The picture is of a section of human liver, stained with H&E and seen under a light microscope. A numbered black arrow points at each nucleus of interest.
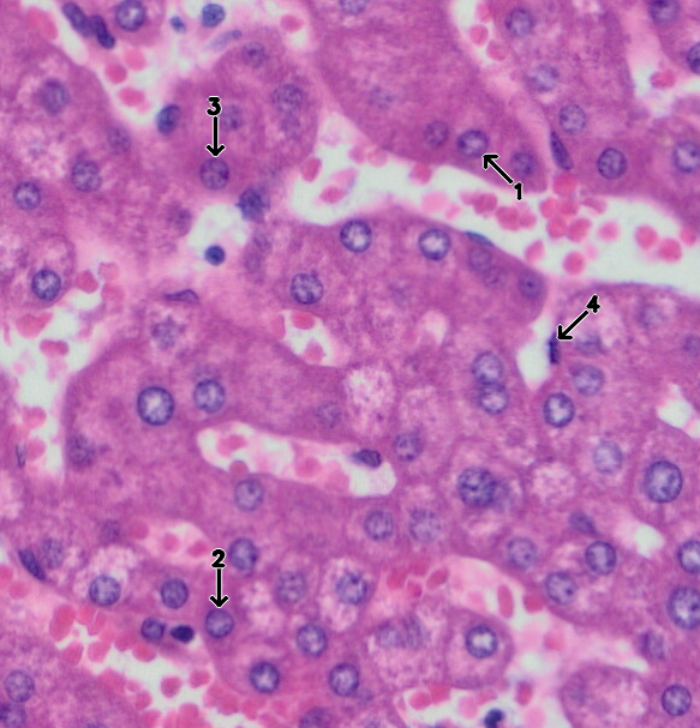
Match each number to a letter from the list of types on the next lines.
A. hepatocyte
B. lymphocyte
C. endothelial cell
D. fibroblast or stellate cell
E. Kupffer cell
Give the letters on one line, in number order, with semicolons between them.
A; A; A; C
